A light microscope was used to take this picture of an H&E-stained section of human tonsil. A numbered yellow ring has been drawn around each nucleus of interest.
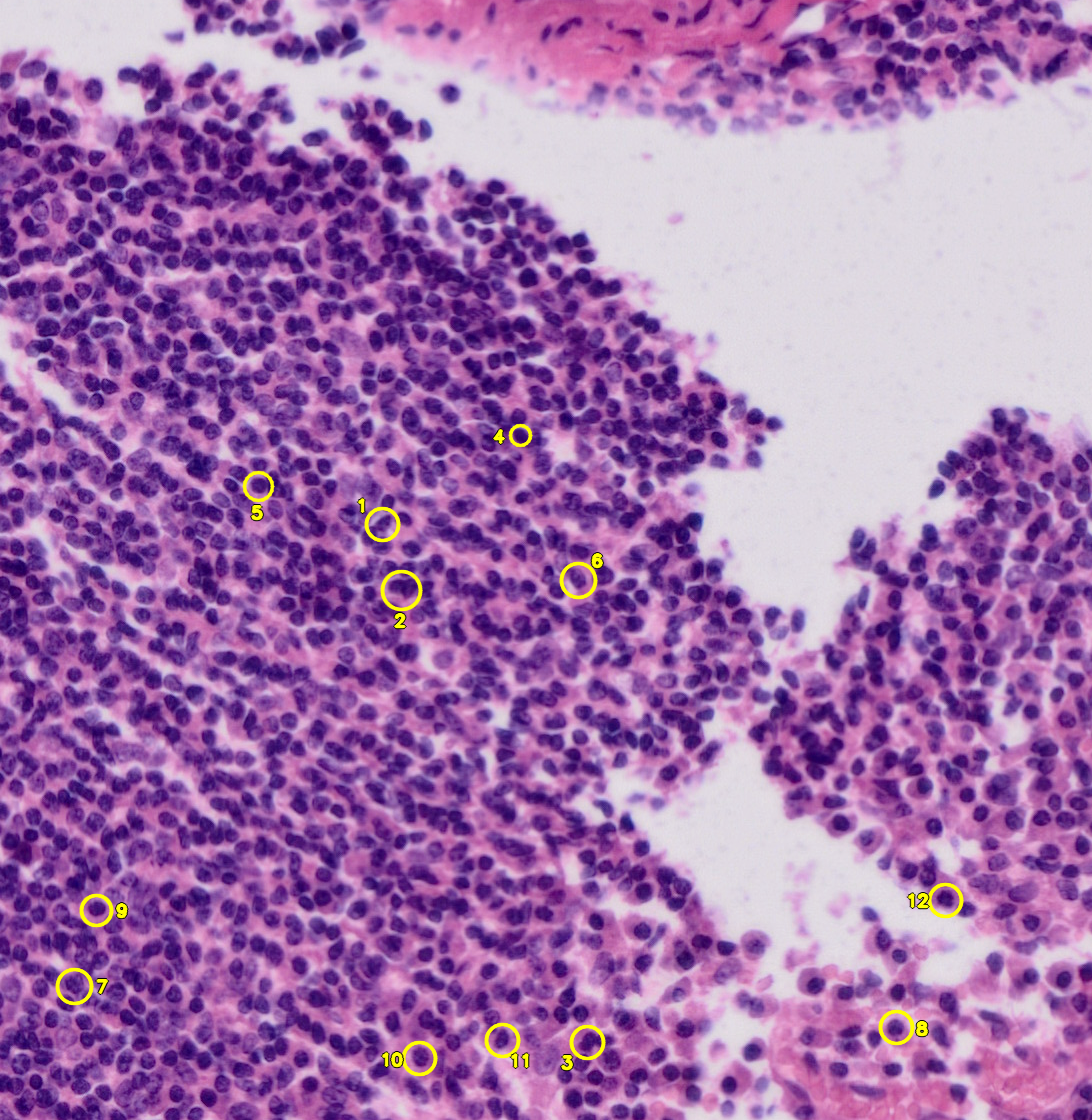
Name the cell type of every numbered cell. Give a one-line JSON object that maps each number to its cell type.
{"1": "small lymphocyte", "2": "small lymphocyte", "3": "plasma cell", "4": "small lymphocyte", "5": "small lymphocyte", "6": "small lymphocyte", "7": "small lymphocyte", "8": "plasma cell", "9": "small lymphocyte", "10": "plasma cell", "11": "plasma cell", "12": "plasma cell"}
